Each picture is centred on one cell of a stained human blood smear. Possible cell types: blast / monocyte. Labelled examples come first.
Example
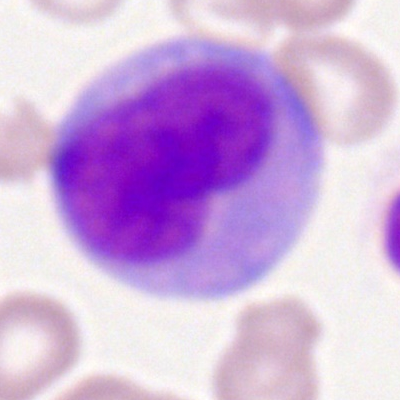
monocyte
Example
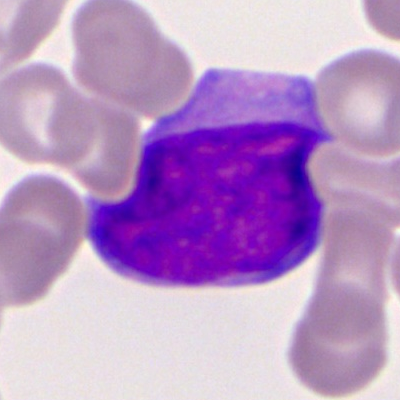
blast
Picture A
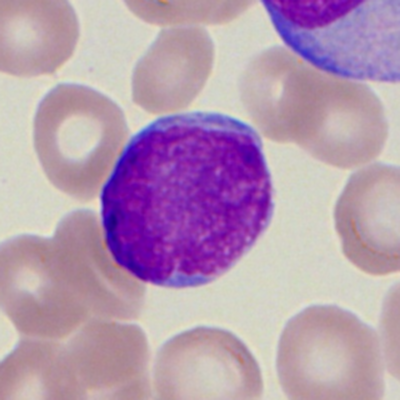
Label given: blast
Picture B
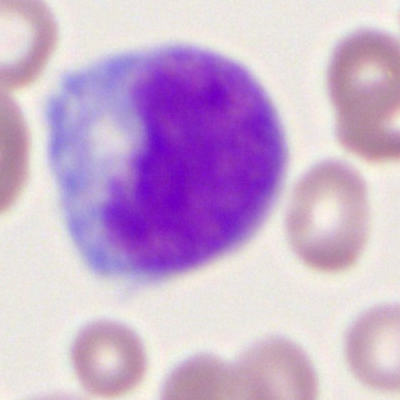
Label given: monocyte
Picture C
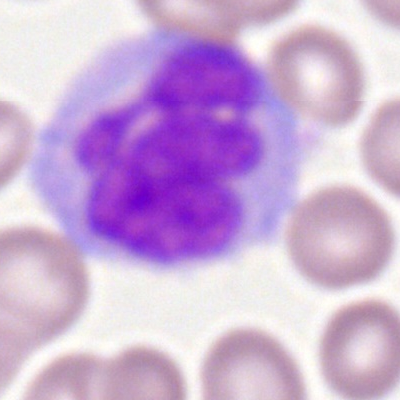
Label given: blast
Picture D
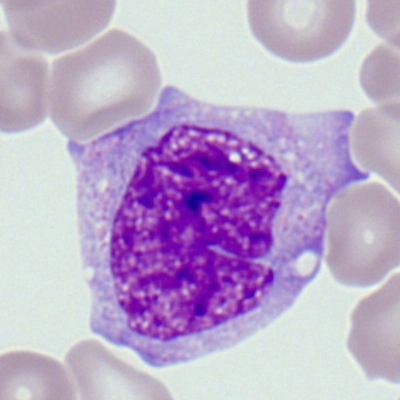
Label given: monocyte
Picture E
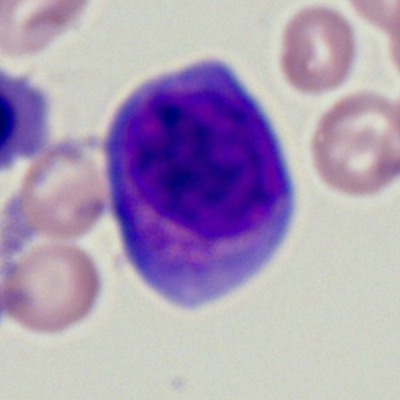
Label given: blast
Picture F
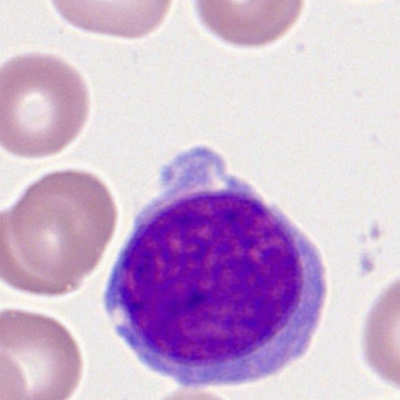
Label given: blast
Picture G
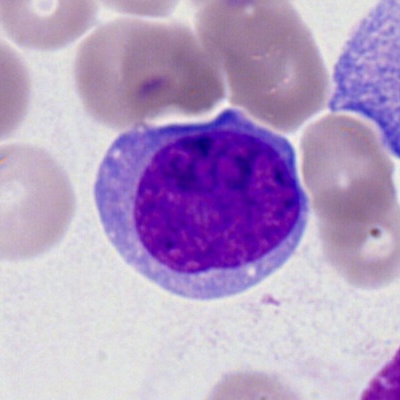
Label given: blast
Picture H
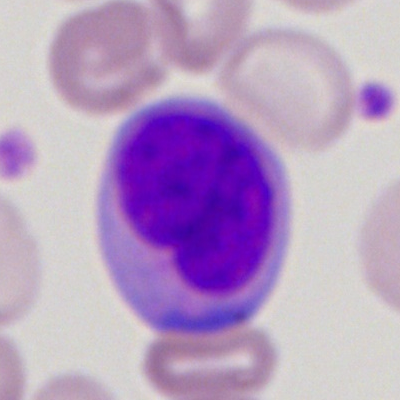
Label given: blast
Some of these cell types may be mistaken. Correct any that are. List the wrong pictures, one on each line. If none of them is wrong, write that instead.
C is labelled blast; correct label: monocyte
